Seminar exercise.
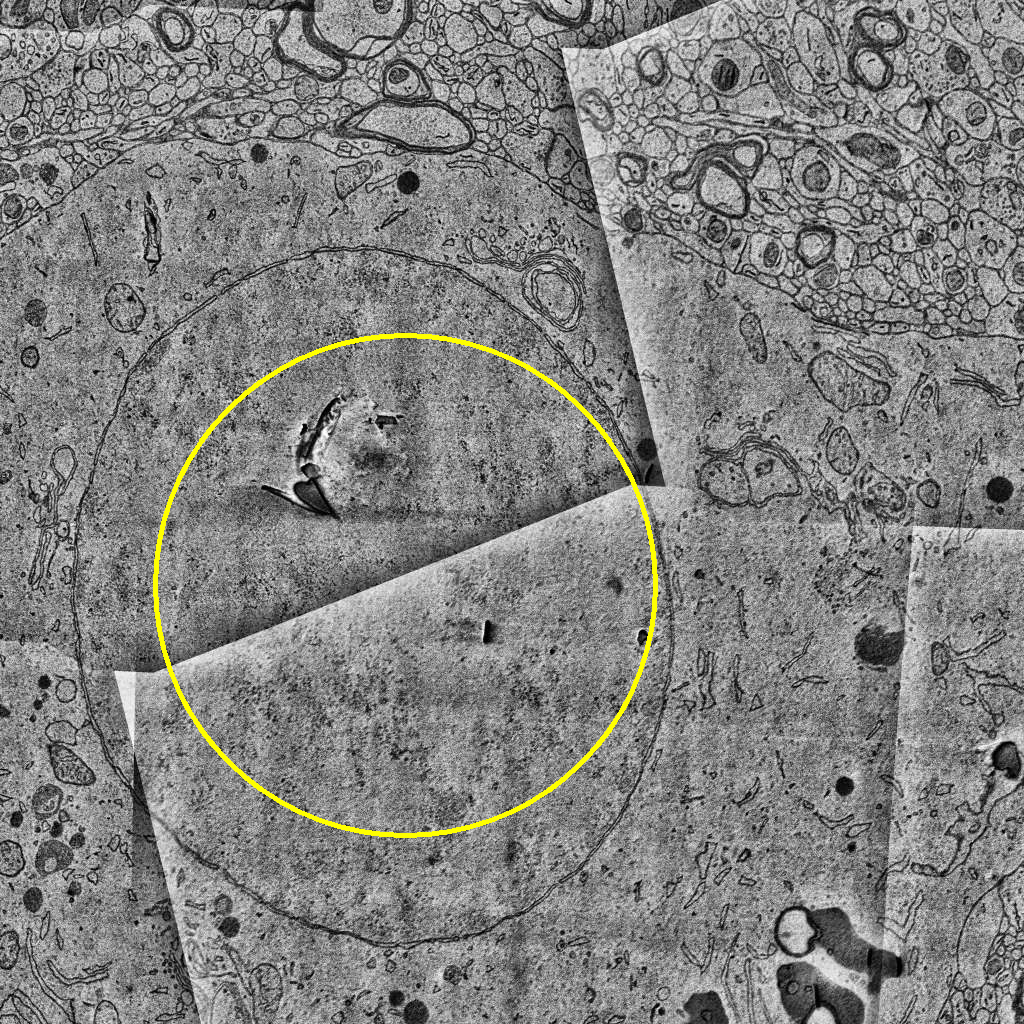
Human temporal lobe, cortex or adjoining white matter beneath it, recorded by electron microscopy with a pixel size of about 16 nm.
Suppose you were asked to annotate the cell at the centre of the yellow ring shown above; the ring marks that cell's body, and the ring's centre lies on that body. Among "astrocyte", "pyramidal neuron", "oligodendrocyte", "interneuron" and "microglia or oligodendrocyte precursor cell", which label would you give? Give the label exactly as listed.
pyramidal neuron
